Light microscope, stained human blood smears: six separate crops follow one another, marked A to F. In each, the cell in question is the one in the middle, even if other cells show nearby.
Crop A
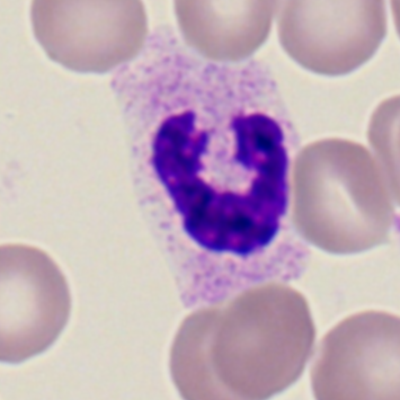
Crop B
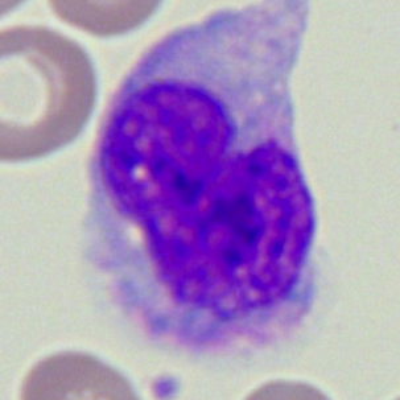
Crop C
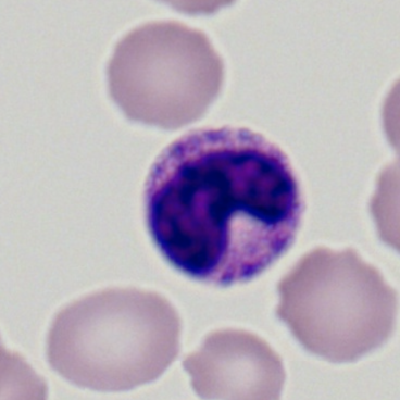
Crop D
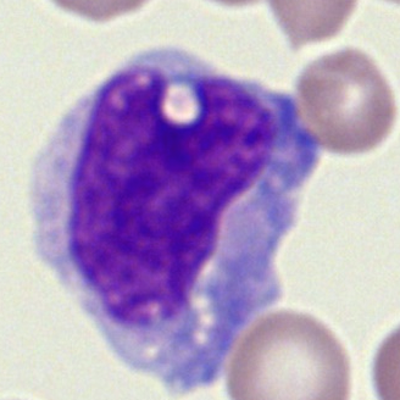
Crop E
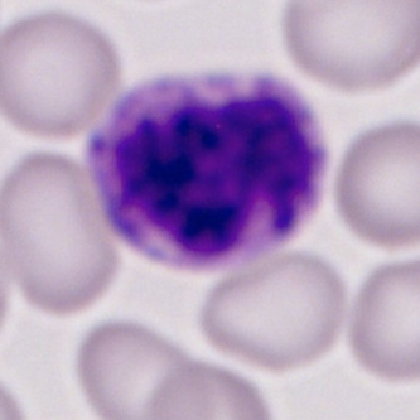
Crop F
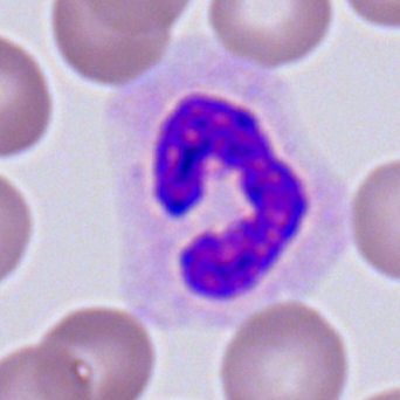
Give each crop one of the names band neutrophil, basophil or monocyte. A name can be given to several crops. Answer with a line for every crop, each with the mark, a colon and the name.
A: band neutrophil
B: monocyte
C: band neutrophil
D: monocyte
E: basophil
F: band neutrophil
